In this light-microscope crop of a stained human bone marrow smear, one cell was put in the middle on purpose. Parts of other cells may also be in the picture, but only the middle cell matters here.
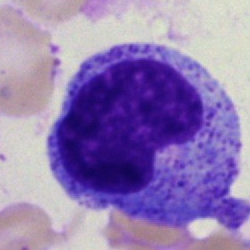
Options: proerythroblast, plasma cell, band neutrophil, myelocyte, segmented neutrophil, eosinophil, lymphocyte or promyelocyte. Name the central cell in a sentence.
This crop has a promyelocyte at its centre.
